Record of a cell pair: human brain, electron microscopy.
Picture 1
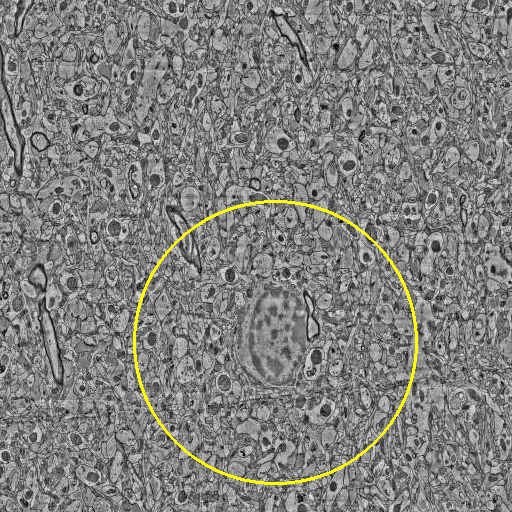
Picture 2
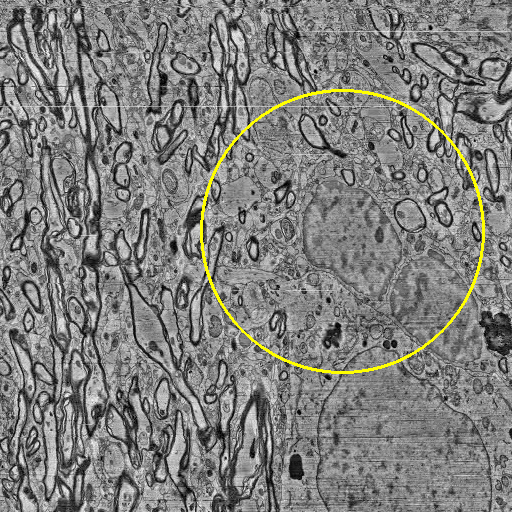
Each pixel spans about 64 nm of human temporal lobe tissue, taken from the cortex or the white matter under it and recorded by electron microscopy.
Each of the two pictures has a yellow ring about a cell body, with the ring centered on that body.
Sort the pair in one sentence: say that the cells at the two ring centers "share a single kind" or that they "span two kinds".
The cells centered in the rings of Pictures 1 and 2 share a single kind.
